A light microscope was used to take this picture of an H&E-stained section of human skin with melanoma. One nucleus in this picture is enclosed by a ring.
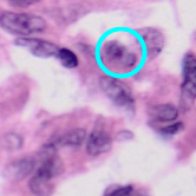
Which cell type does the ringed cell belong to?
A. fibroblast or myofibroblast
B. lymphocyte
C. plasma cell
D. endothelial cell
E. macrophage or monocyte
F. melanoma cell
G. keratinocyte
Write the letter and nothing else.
F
